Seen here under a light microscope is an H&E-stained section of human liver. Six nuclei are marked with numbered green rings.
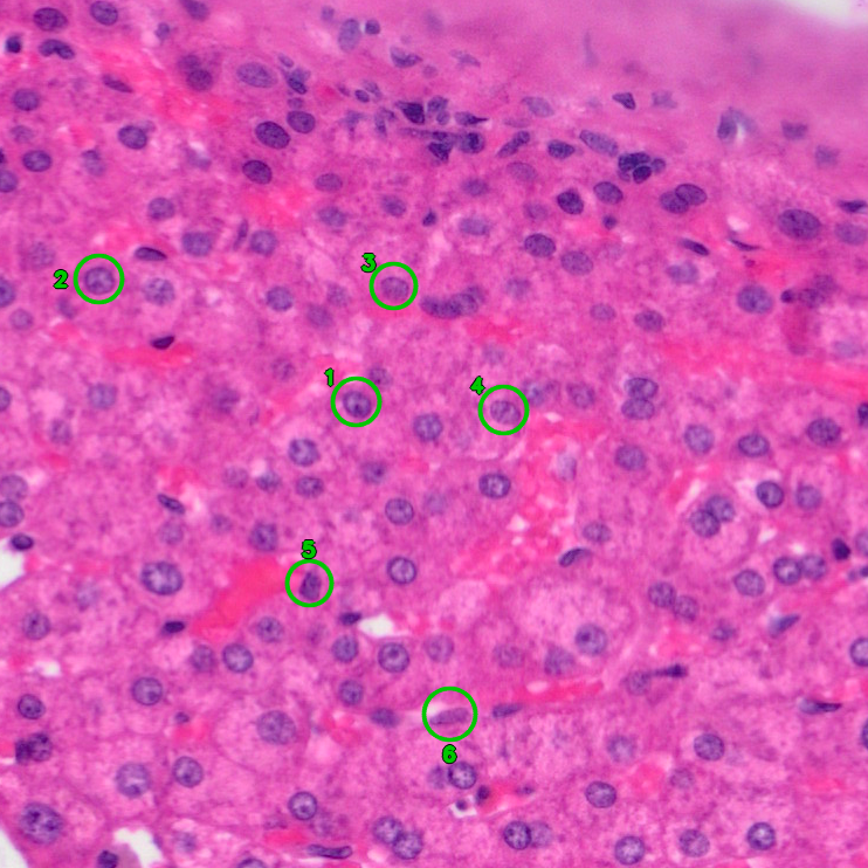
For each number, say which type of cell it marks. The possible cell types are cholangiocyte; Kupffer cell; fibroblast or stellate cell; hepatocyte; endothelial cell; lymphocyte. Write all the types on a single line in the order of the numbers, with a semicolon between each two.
hepatocyte; hepatocyte; hepatocyte; hepatocyte; fibroblast or stellate cell; Kupffer cell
